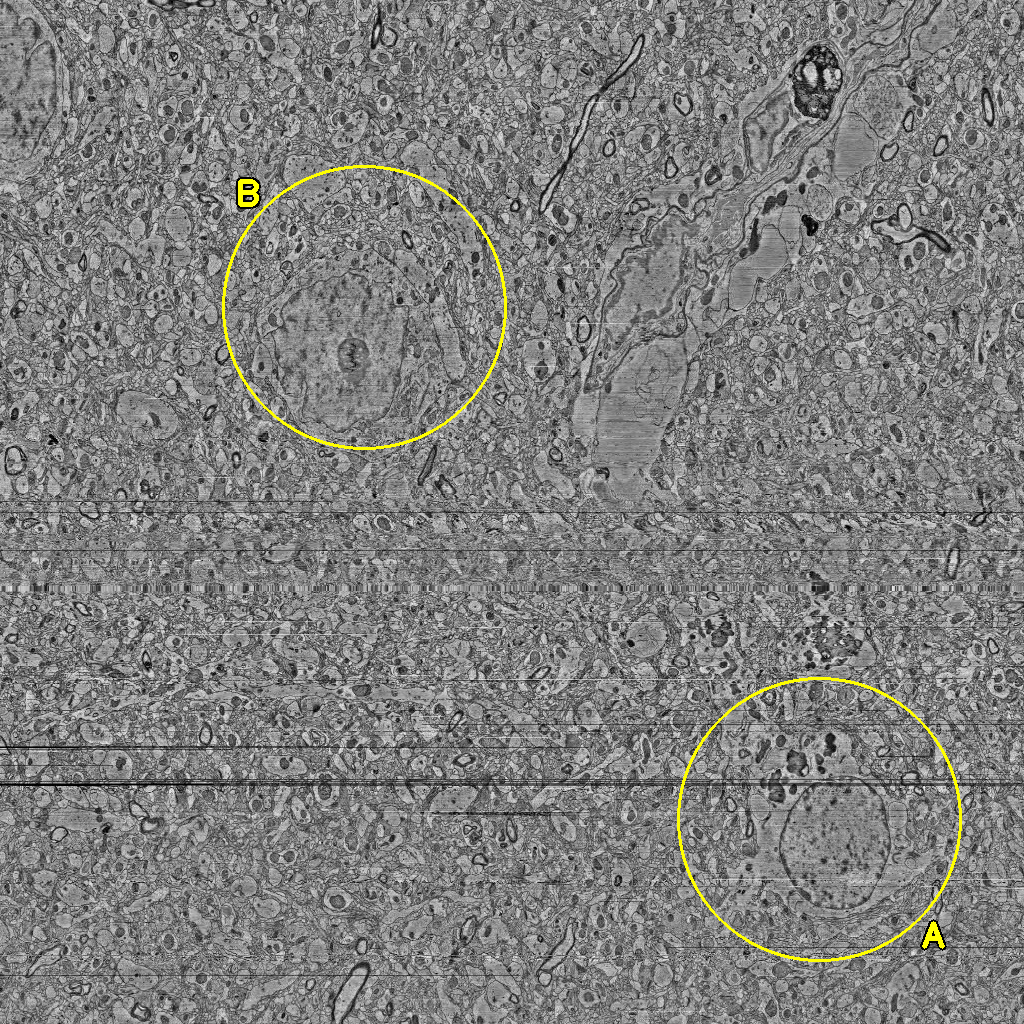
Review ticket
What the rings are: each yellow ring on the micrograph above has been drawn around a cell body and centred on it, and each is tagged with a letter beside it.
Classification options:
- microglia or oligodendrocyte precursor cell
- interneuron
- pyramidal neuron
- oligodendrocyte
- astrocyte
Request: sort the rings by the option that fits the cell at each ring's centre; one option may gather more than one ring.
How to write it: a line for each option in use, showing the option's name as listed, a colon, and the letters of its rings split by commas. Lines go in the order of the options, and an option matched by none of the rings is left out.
interneuron: B
astrocyte: A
